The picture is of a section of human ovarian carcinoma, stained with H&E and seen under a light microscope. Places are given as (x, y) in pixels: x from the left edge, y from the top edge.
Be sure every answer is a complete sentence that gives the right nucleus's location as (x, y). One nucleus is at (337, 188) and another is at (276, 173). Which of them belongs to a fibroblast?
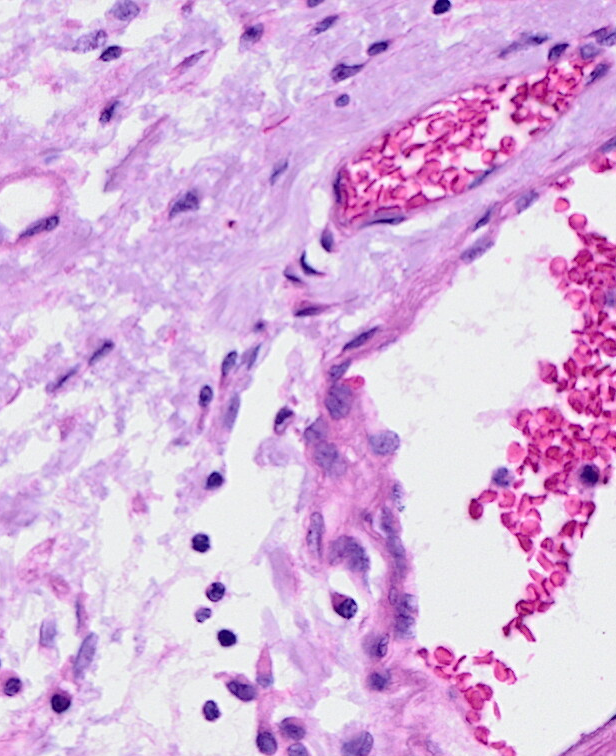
The nucleus situated at (276, 173) is the one belonging to a fibroblast.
